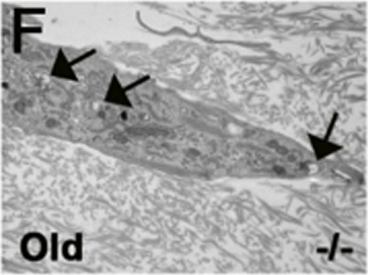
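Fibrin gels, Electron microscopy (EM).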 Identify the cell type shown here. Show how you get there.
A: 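The cell lies embedded in a meshwork of fine extracellular fibres.
Answer: fibroblasts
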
